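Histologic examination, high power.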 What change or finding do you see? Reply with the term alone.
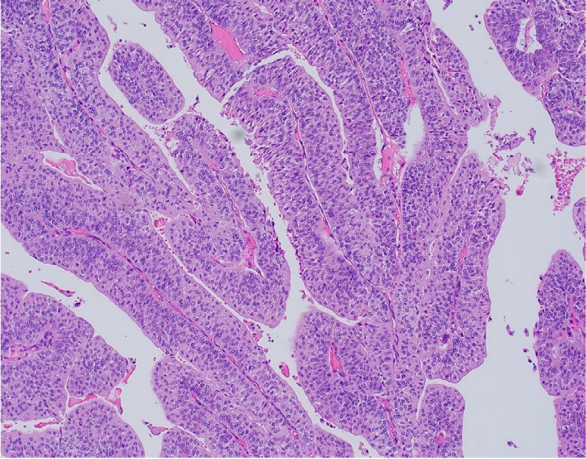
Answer: low-grade papillary urothelial carcinoma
